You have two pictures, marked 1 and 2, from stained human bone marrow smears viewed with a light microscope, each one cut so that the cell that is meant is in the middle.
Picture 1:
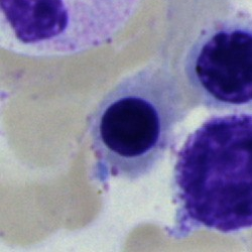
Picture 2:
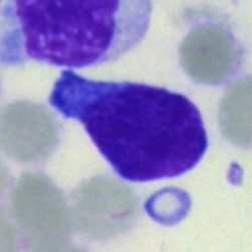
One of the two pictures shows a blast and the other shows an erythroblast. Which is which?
1: erythroblast
2: blast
